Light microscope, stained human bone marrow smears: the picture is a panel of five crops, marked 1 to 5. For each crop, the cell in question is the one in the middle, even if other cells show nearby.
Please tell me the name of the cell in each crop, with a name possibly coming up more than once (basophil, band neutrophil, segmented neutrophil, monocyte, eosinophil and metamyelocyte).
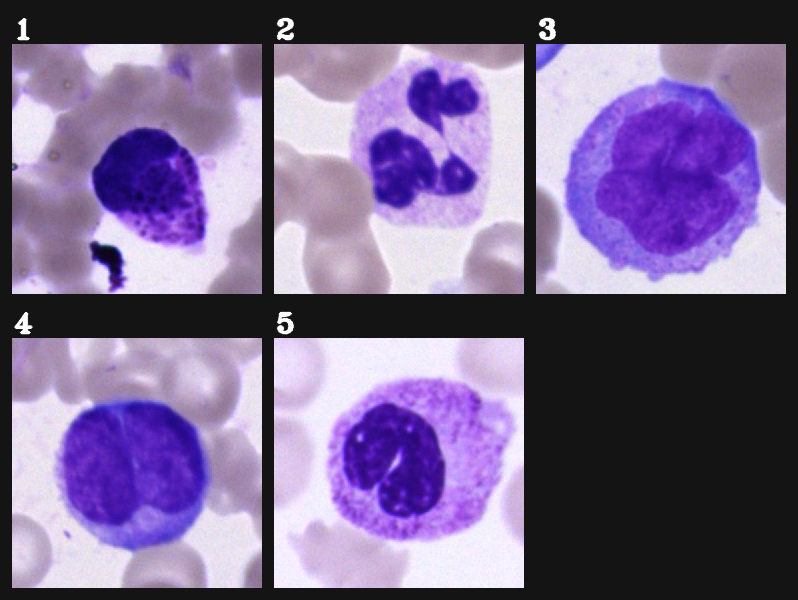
1: basophil
2: segmented neutrophil
3: monocyte
4: monocyte
5: segmented neutrophil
